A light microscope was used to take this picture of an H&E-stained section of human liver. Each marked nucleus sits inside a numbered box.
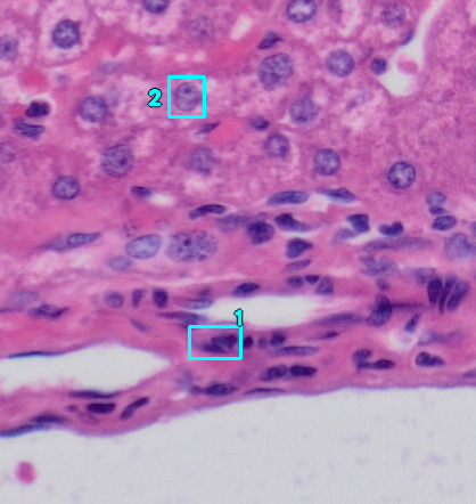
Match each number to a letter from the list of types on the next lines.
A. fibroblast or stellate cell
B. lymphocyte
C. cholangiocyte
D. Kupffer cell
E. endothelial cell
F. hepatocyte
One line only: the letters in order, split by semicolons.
A; F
